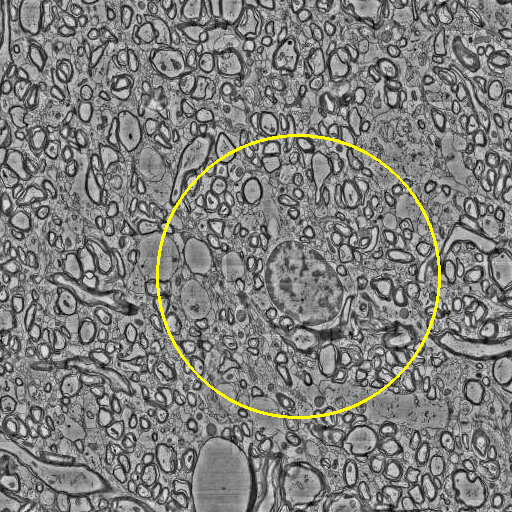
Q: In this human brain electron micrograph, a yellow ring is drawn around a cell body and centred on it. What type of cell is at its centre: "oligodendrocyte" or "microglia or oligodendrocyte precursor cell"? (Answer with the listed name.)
microglia or oligodendrocyte precursor cell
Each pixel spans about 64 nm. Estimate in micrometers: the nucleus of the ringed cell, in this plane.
Approximately 6 by 4 micrometers in this plane.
